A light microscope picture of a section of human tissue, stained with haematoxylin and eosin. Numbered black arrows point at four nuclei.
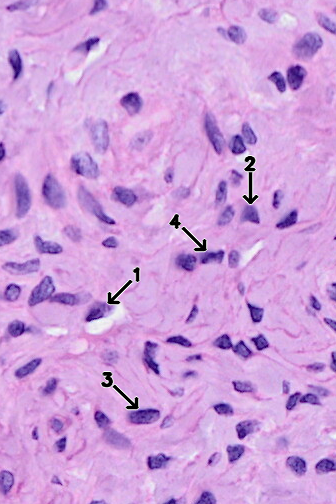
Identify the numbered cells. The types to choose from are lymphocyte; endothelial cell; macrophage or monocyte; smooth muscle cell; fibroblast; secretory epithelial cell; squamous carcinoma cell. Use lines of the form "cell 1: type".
cell 1: endothelial cell
cell 2: fibroblast
cell 3: fibroblast
cell 4: fibroblast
